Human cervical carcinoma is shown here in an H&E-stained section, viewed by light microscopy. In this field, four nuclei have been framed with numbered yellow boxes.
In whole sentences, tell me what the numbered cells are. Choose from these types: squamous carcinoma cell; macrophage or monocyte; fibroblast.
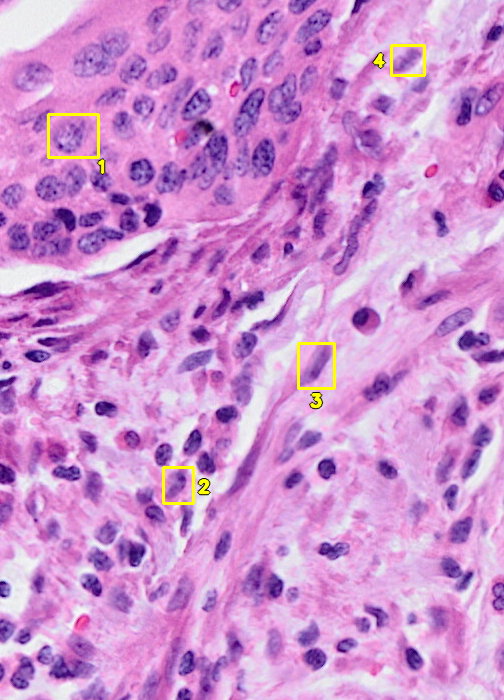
Cell 1 is a squamous carcinoma cell, cell 2 is a macrophage or monocyte, cell 3 is a fibroblast and cell 4 is a fibroblast.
